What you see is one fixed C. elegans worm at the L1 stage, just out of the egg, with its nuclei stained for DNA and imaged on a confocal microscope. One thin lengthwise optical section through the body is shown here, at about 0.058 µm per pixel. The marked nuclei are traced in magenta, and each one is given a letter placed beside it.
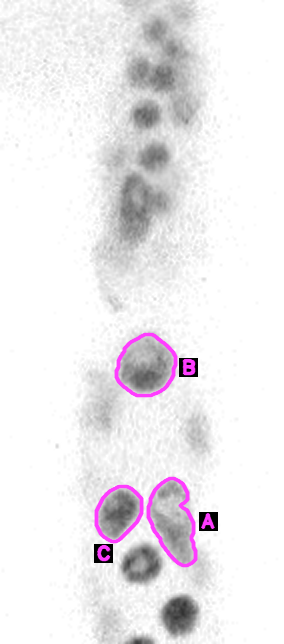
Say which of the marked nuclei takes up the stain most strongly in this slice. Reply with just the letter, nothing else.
C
